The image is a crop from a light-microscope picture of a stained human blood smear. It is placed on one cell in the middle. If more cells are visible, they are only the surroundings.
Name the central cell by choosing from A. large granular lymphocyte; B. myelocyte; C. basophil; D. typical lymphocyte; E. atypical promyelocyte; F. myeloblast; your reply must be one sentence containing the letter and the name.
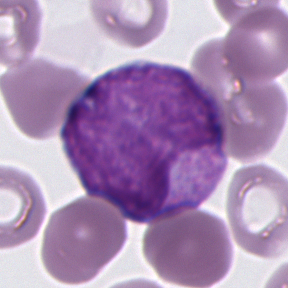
Since the cell in the centre is an atypical promyelocyte, the correct option is E.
